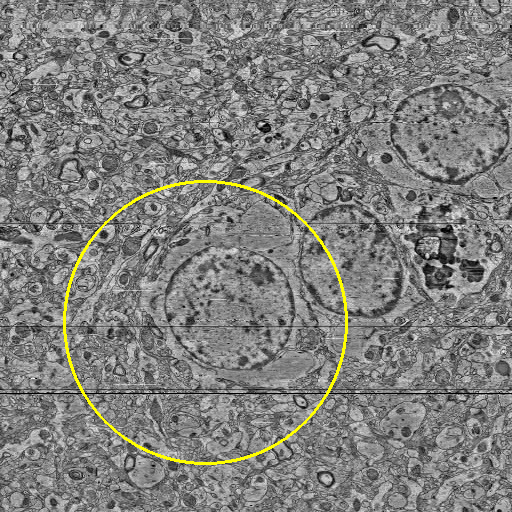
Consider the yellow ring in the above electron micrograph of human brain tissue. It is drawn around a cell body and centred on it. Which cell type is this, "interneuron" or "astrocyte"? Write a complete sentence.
The cell in question is an astrocyte.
